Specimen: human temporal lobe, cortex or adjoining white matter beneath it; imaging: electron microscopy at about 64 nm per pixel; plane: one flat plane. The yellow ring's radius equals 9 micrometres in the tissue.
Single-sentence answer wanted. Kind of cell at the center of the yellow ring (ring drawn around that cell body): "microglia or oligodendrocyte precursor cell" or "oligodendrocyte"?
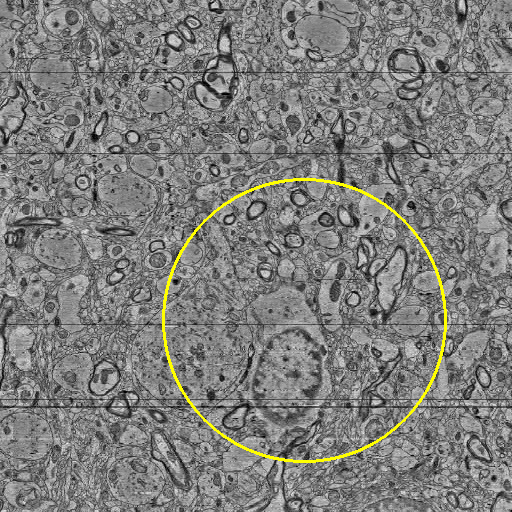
The cell centered in the ring is a microglial cell or oligodendrocyte precursor cell.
